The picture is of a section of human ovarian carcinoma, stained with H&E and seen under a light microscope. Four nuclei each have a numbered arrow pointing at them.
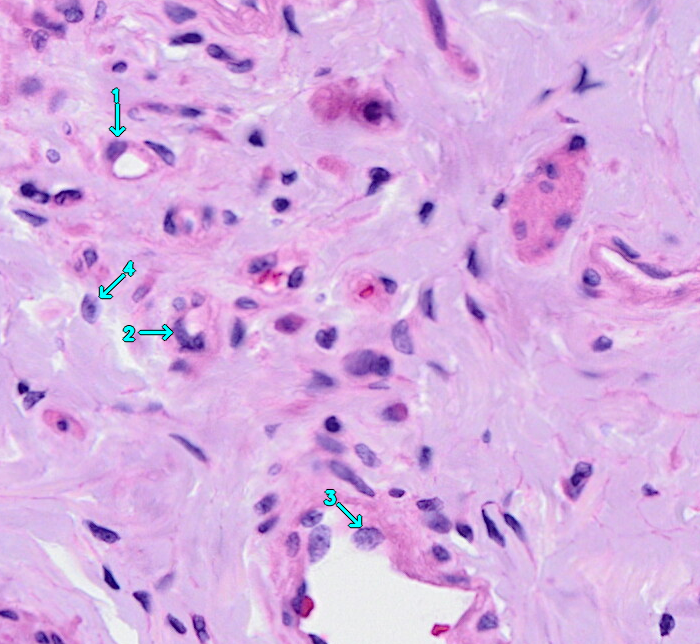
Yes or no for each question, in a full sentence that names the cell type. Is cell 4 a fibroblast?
Yes, the cell marked by the number 4 is a fibroblast.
